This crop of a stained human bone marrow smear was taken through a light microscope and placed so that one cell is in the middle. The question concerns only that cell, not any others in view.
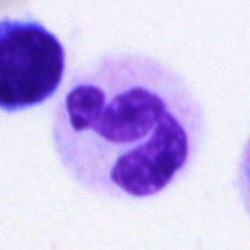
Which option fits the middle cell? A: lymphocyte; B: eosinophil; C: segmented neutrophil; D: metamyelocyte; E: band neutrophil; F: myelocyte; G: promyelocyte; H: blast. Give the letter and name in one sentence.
The middle of the crop holds a segmented neutrophil, which points to option C.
